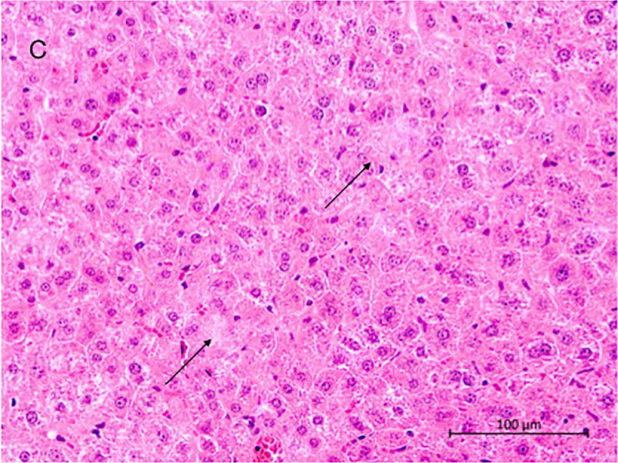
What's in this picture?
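This field shows liver parenchyma made up almost entirely of hepatocytes. The hepatocytes are polygonal cells with pink, somewhat granular cytoplasm and clearly outlined cell borders. Their nuclei are round with speckled chromatin and visible nucleoli, and some cells carry two nuclei. Scattered small red blood cells lie in the sinusoids between the cell plates. Here and there small paler patches appear, where the cytoplasm looks lighter and less uniform than around it.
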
